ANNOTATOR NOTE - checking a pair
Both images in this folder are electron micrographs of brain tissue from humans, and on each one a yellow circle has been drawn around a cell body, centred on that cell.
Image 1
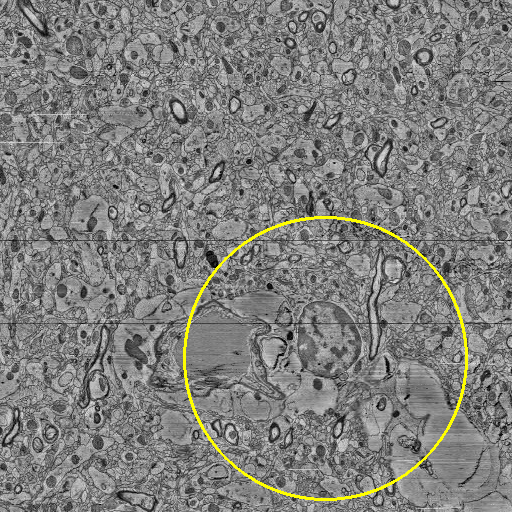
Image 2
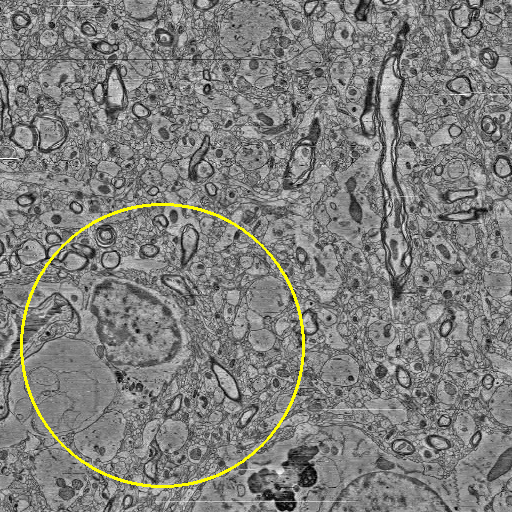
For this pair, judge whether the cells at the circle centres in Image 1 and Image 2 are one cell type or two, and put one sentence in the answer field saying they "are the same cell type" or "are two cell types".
For this pair, the cells at the circle centres in Images 1 and 2 are the same cell type.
